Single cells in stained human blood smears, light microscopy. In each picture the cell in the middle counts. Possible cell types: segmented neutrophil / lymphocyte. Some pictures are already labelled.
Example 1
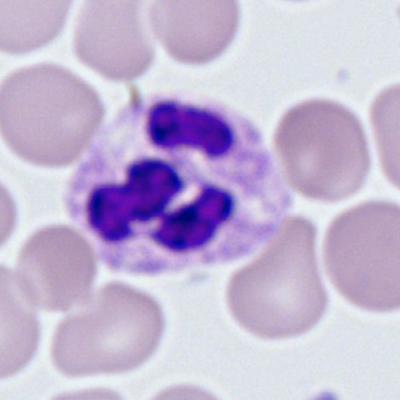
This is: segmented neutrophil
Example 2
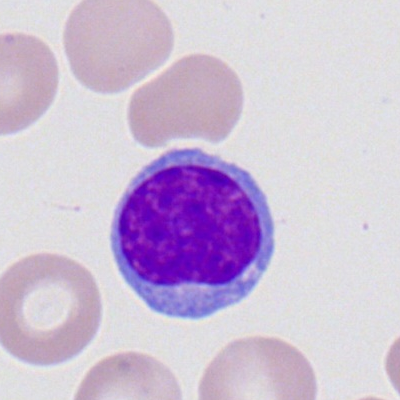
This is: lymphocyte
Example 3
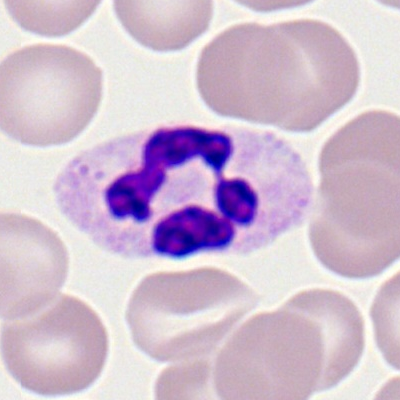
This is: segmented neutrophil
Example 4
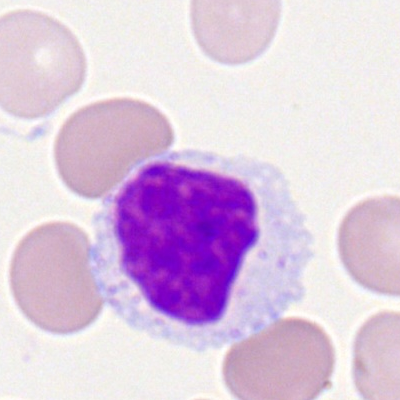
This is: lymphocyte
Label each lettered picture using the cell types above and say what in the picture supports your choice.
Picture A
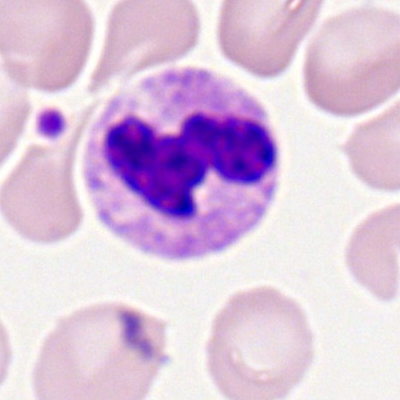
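segmented neutrophil. Evidence: The cytoplasm is plentiful and pale pinkish-lilac.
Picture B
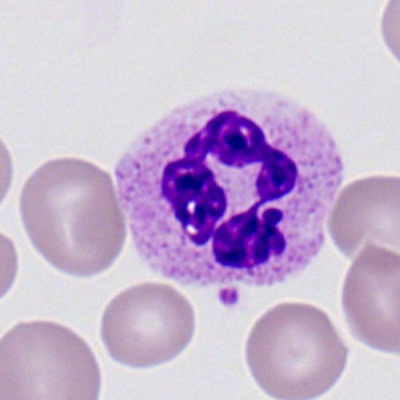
segmented neutrophil. Evidence: The nucleus is divided into several connected lobes arranged in a ring around a pale central area.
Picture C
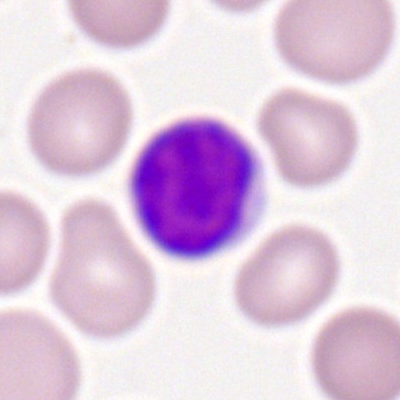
lymphocyte. Evidence: The nucleus fills almost the whole cell.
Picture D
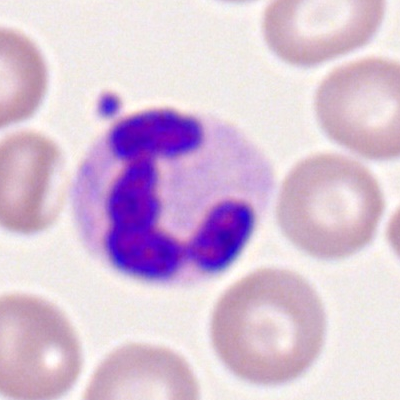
segmented neutrophil. Evidence: The cytoplasm is abundant and pale pinkish-lilac.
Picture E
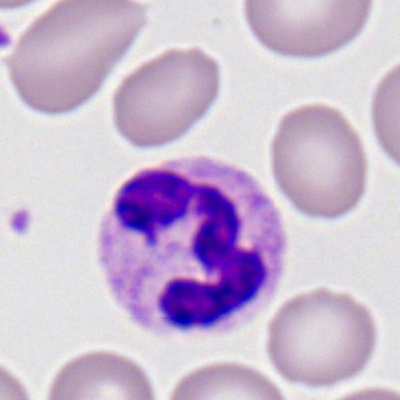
segmented neutrophil. Evidence: The cytoplasm is plentiful and pale pink-lilac.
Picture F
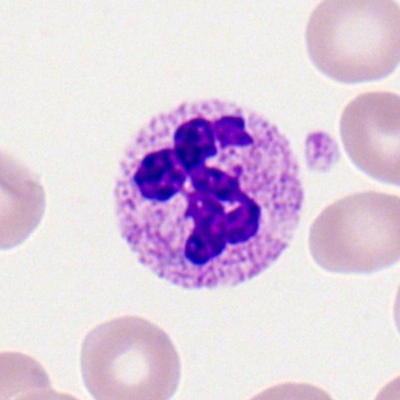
segmented neutrophil. Evidence: The nucleus is divided into several separate lobes.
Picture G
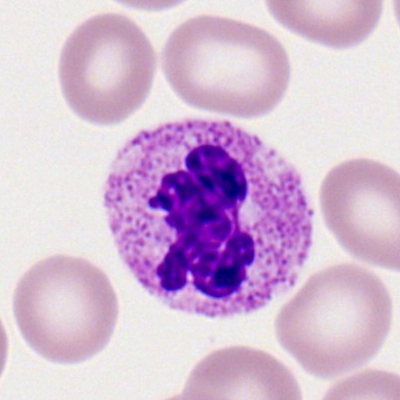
segmented neutrophil. Evidence: The cytoplasm is plentiful and pale pink-lilac.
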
